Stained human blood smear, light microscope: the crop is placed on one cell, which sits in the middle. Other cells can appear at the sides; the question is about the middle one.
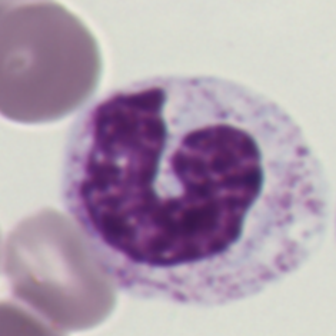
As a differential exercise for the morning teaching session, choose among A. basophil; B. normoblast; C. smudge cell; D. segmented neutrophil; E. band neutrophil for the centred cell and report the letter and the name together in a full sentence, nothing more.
Since the middle cell is a band neutrophil, option E is the right one.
